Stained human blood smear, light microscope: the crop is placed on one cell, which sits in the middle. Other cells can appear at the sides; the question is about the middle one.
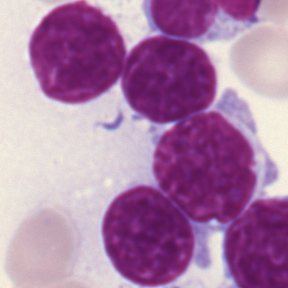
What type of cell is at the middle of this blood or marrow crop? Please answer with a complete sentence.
The cell at the middle of the crop is recognized as a blast.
